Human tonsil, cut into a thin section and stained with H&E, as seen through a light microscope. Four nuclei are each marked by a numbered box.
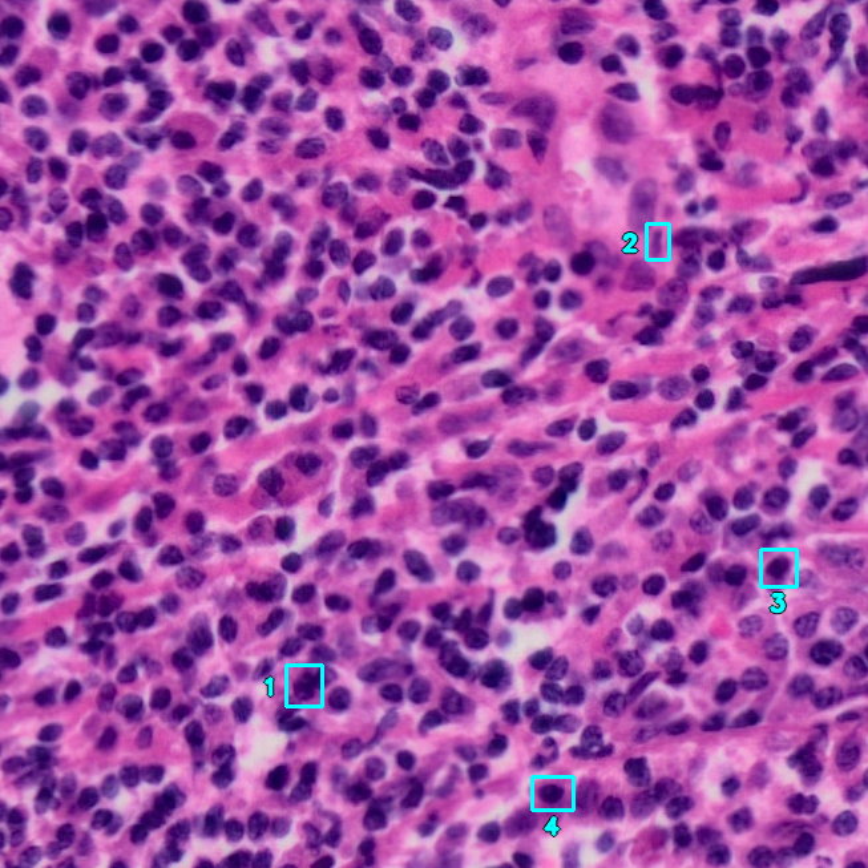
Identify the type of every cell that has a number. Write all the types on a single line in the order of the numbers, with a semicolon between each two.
plasma cell; endothelial cell; plasma cell; plasma cell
